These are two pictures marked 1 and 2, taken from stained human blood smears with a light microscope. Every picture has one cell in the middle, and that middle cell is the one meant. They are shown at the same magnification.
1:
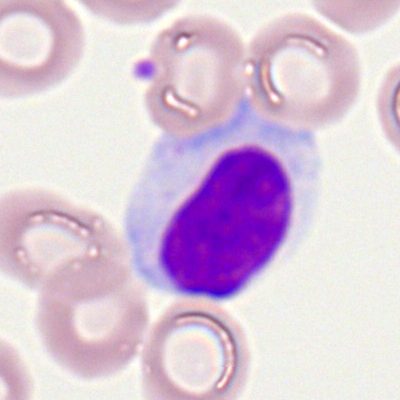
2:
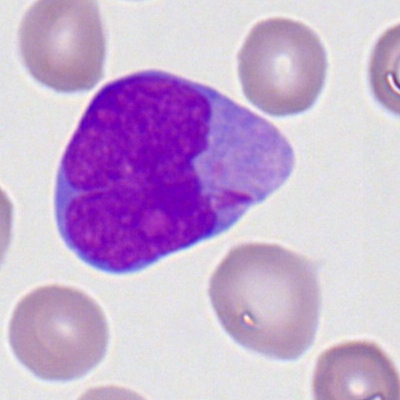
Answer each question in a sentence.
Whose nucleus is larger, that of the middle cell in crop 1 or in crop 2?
The nucleus in crop 2 is larger, with about 2 times the area of the one in crop 1.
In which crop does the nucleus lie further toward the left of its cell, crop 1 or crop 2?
It is the nucleus in crop 2 that lies further toward the left of its cell.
